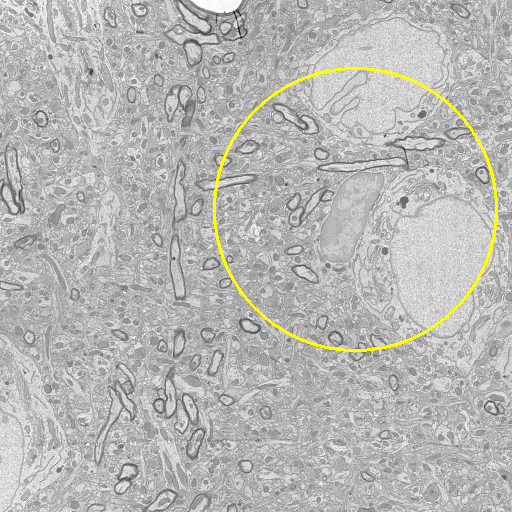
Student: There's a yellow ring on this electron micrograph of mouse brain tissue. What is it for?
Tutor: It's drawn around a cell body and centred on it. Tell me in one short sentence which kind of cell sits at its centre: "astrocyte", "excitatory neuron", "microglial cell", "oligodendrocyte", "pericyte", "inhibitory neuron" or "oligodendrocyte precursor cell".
The cell at the centre of the ring is a microglial cell.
